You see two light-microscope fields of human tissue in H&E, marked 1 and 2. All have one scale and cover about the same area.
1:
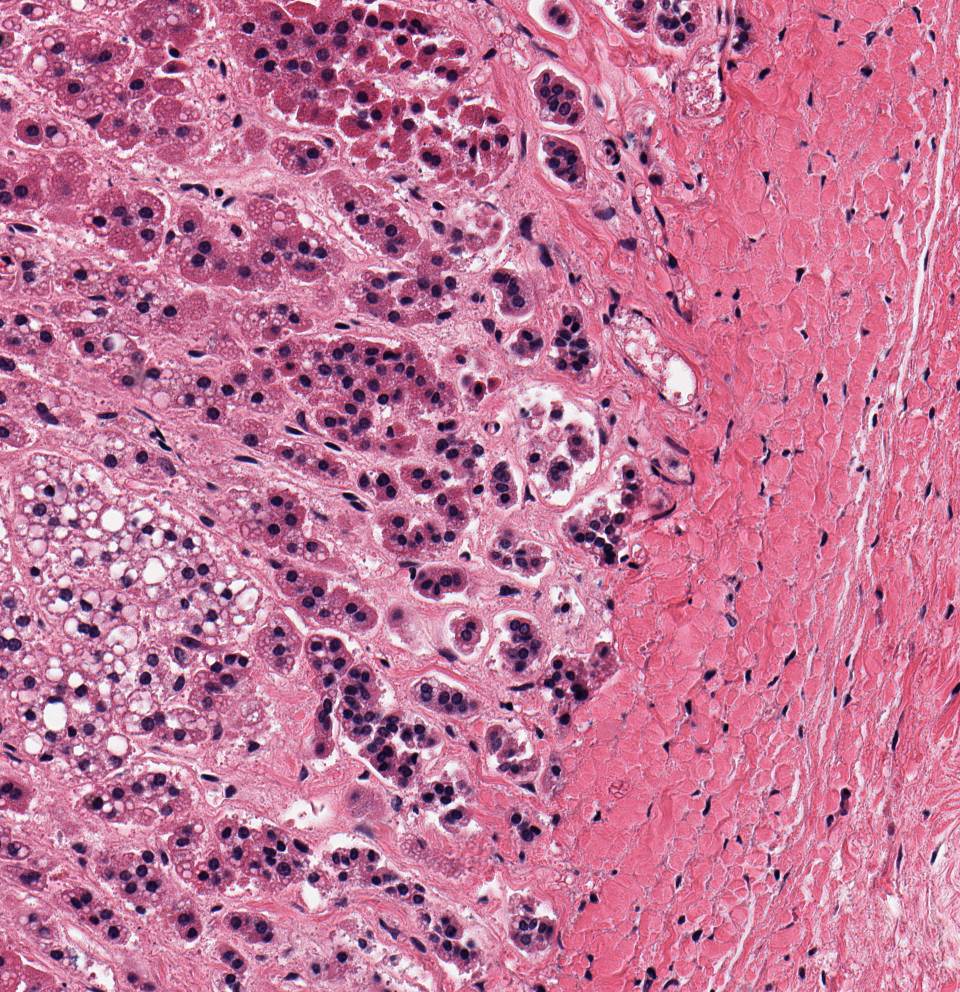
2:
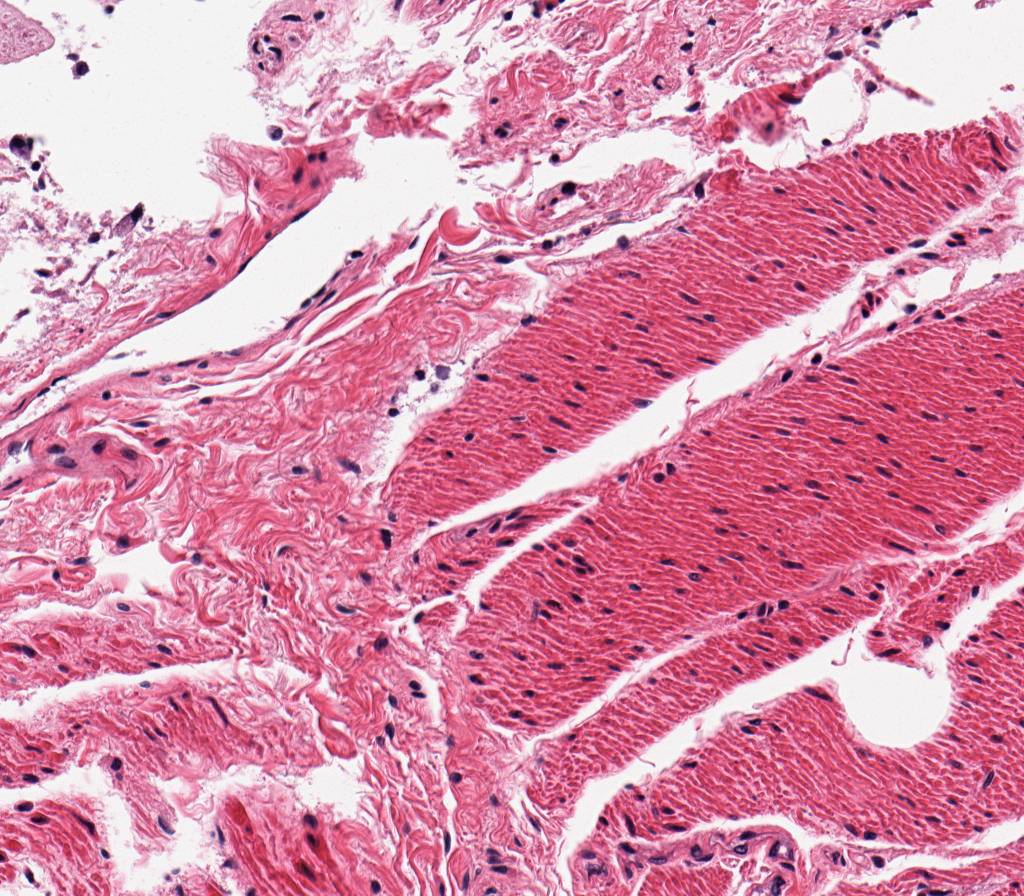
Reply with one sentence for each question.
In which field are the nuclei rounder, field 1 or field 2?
The nuclei are rounder in field 1.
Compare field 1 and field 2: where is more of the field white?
It is field 2 in which white space covers the larger part.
